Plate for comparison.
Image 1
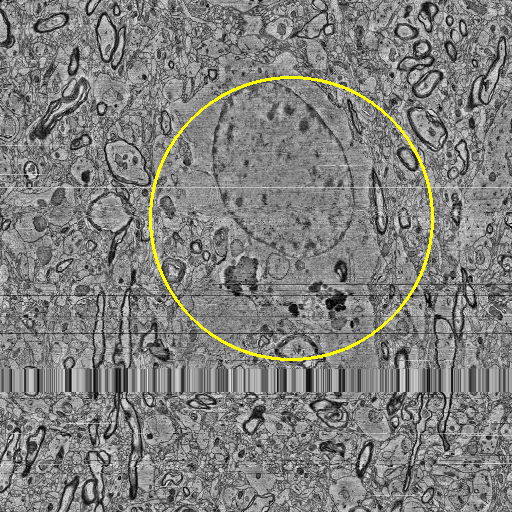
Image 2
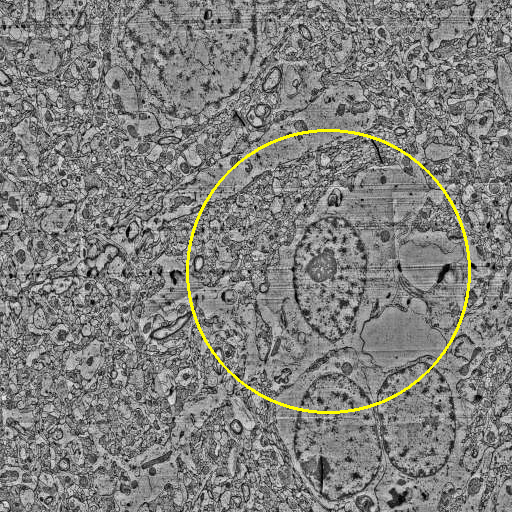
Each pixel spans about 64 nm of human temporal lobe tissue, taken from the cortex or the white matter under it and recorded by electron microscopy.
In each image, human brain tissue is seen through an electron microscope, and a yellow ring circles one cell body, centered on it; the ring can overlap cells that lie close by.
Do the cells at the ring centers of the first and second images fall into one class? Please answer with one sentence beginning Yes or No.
Yes, the first and second images show a single class of cell at the ring centers.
